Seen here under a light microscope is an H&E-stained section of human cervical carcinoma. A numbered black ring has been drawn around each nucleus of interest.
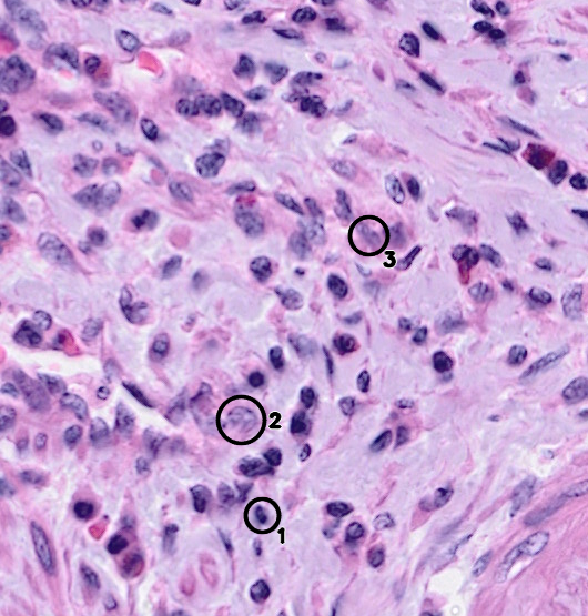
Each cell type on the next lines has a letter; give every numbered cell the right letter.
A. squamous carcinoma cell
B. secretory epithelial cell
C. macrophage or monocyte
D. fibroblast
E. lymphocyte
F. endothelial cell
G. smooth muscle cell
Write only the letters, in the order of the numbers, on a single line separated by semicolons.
E; F; F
